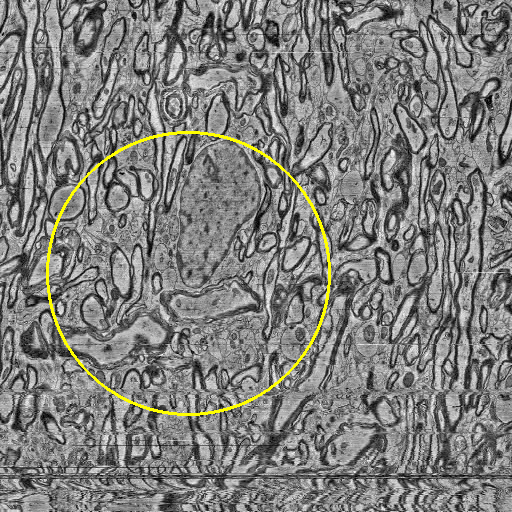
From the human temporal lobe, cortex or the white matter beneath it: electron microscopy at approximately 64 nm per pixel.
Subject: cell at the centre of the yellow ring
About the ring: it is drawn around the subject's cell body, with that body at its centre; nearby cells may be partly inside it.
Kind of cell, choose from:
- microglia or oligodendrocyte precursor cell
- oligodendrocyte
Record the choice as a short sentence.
The subject cell is a microglial cell or oligodendrocyte precursor cell.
